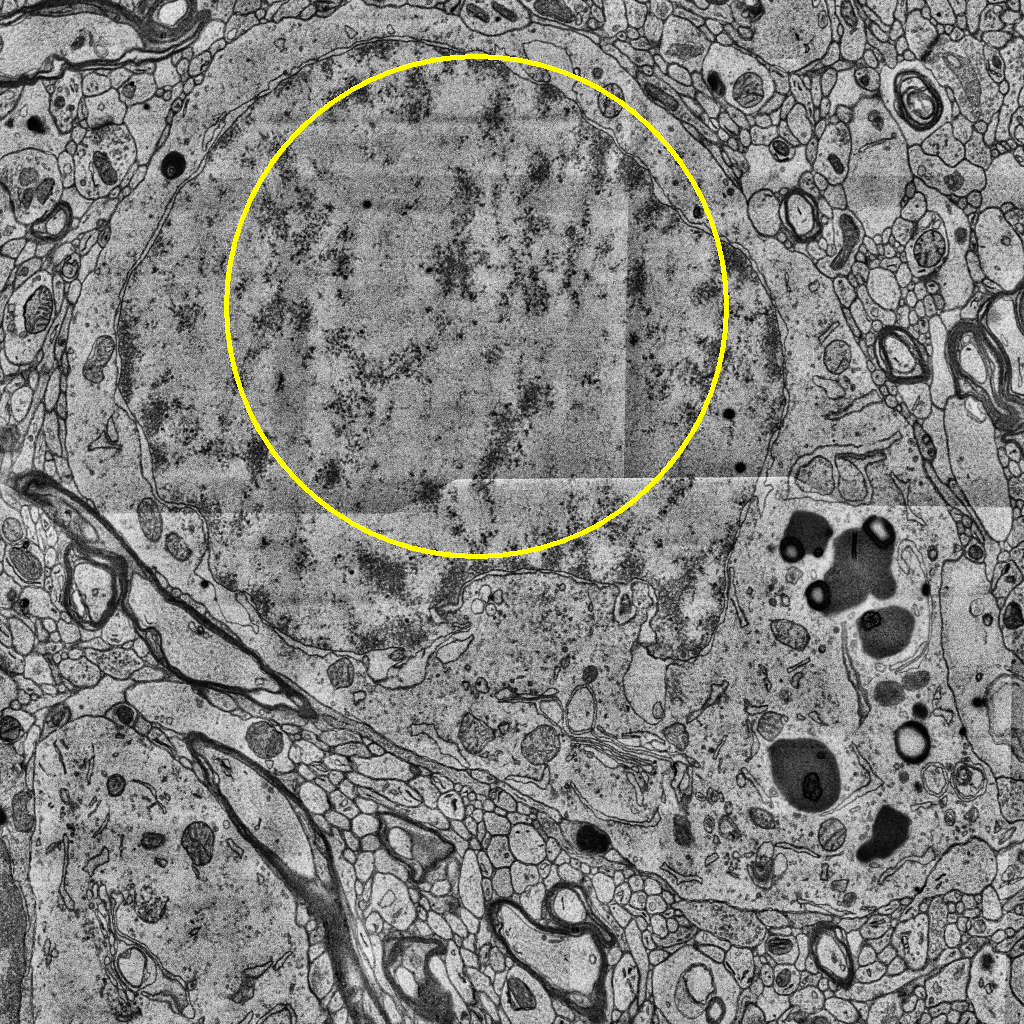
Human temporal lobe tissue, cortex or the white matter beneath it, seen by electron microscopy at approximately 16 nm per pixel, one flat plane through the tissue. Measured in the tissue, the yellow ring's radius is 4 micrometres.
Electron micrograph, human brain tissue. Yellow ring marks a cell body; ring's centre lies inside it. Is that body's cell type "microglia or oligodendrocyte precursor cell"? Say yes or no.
no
